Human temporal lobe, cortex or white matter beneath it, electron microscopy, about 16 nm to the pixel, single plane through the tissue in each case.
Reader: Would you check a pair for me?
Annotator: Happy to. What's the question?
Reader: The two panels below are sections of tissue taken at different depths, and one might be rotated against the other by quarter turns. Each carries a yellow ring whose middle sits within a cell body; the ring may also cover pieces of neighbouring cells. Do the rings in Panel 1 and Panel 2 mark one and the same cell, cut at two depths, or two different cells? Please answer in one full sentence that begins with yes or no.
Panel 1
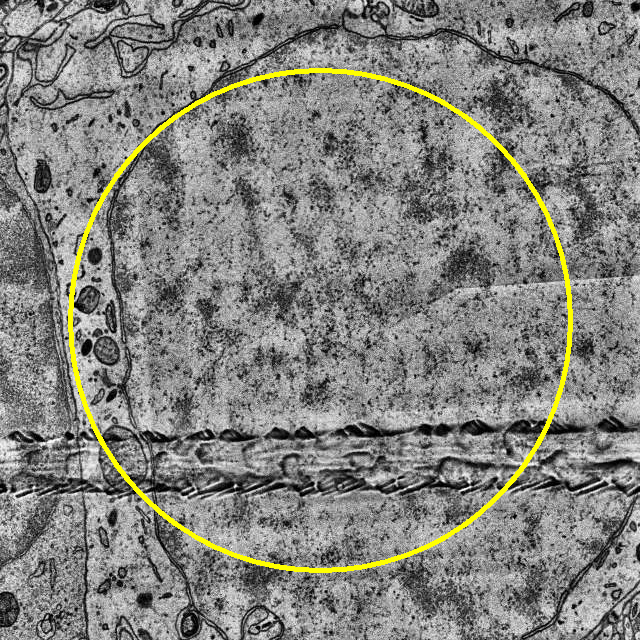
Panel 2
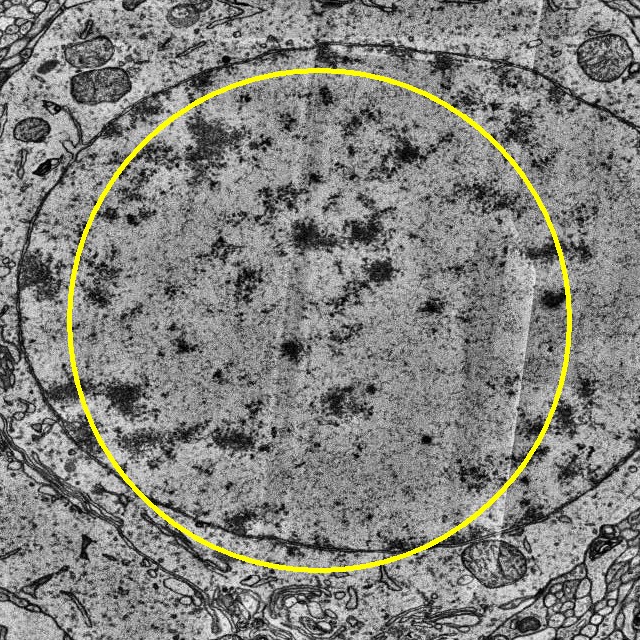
No, the yellow rings mark two separate cells, not one.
